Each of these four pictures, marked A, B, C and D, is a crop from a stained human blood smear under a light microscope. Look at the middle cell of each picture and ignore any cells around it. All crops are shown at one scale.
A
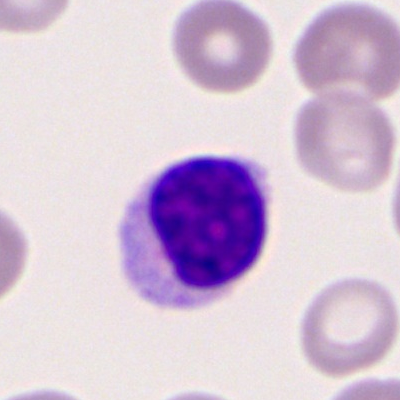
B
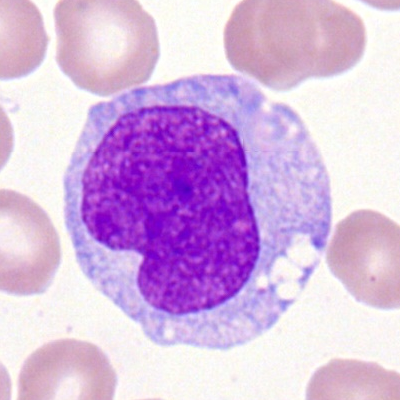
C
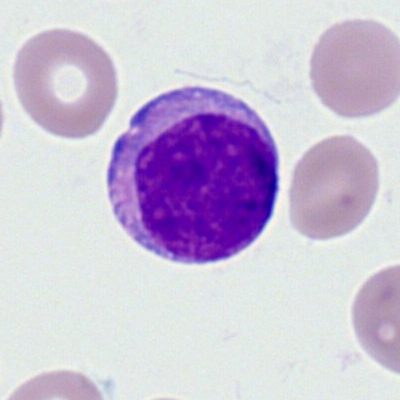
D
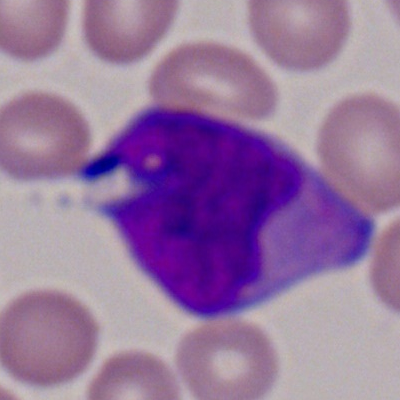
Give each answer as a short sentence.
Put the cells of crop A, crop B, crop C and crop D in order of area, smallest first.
From the smallest up, the order is A, C, D, B.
